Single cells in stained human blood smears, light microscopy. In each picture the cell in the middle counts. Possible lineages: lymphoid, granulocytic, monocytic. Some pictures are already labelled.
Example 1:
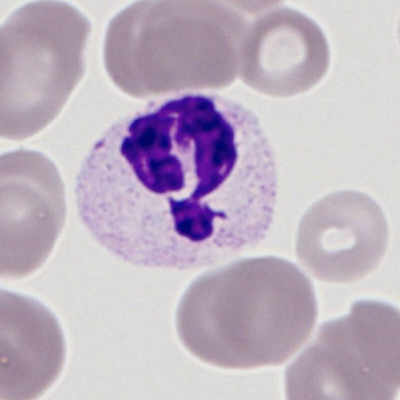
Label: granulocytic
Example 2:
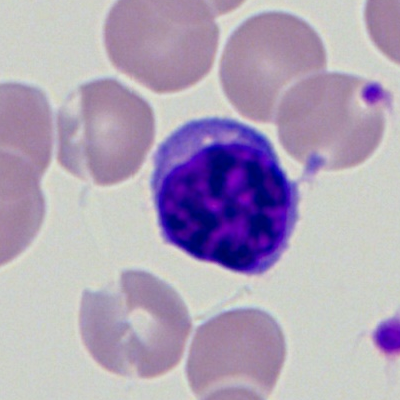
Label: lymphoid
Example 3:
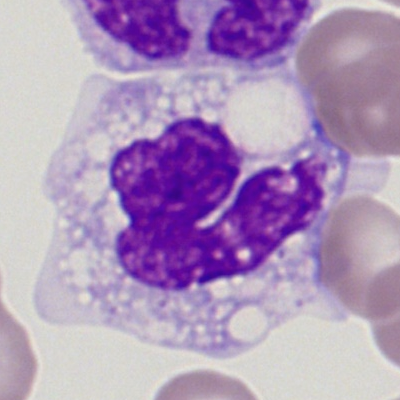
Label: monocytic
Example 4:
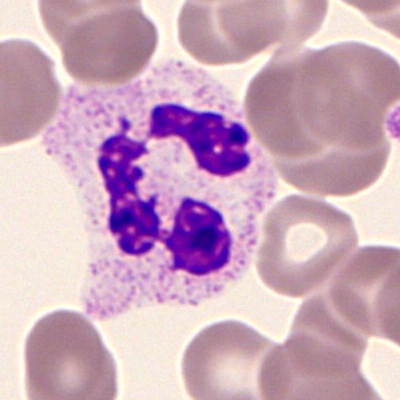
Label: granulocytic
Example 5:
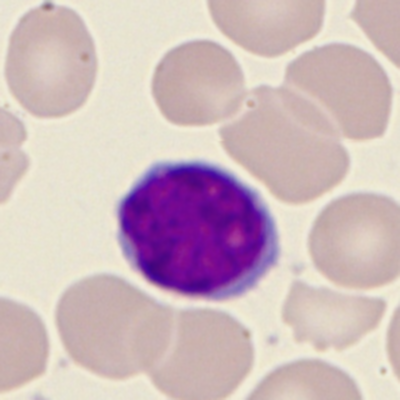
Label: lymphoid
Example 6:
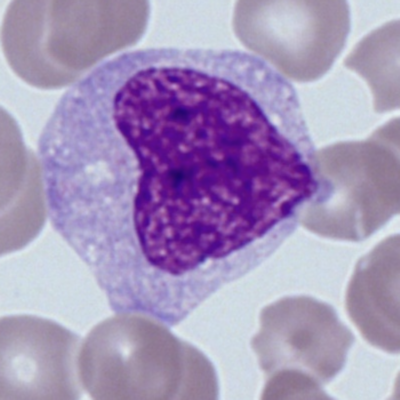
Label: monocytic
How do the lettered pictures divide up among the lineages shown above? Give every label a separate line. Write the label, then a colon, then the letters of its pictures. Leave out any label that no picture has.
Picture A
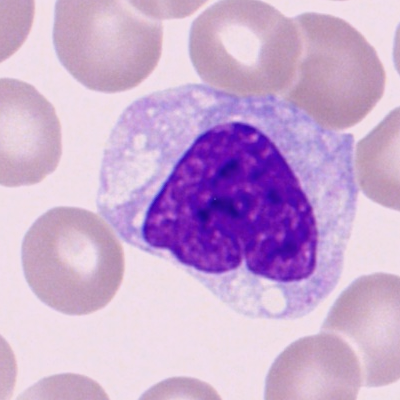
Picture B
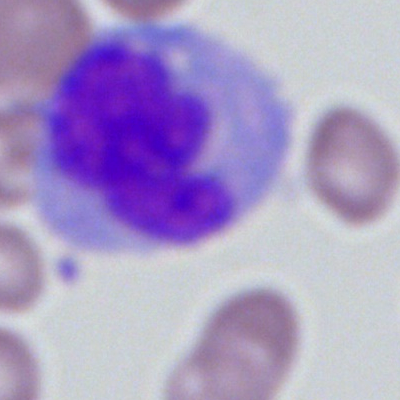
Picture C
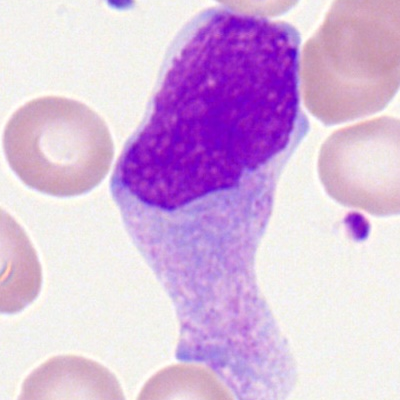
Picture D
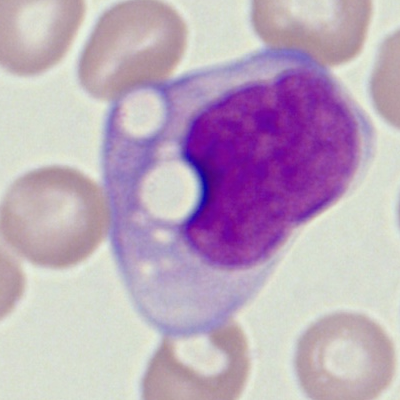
monocytic: A, B, C, D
